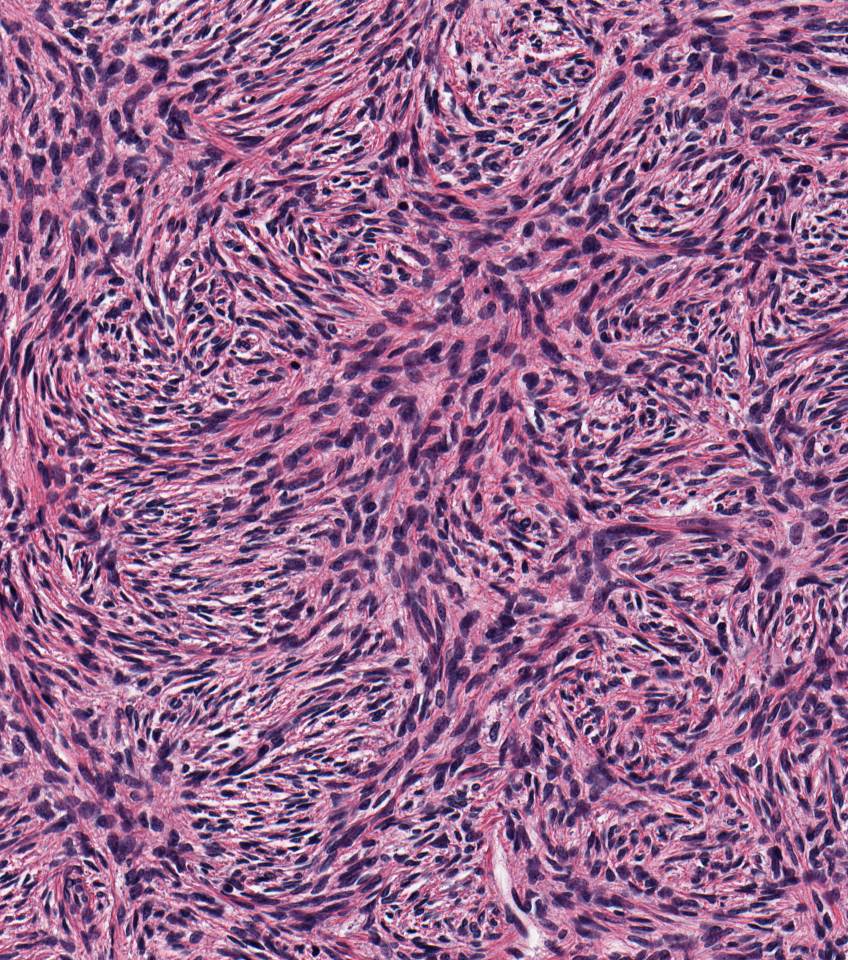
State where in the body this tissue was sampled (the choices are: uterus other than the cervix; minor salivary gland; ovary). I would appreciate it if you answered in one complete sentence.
This tissue sample was collected from the ovary.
